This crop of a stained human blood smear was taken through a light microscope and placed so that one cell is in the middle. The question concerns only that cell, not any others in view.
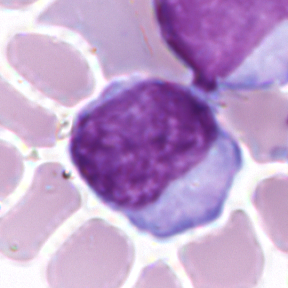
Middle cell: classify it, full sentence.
Where the crop is centred, there is a plasma cell.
